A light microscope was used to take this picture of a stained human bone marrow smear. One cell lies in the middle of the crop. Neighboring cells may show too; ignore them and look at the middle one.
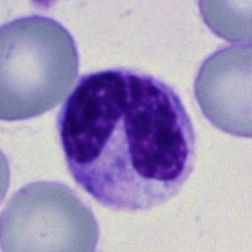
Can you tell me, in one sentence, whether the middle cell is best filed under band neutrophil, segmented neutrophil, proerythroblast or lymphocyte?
This crop's central cell is a band neutrophil.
